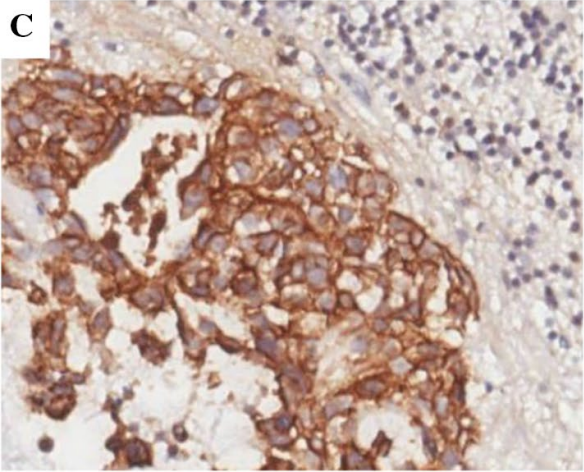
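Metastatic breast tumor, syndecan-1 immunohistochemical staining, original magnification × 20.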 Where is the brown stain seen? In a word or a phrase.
Membranous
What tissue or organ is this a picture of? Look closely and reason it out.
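A tumor cell mass at left is bordered by a band of pale tissue. On the right lies pale fibrillar tissue with many small round blue nuclei, unlike the tumor. So: brain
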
